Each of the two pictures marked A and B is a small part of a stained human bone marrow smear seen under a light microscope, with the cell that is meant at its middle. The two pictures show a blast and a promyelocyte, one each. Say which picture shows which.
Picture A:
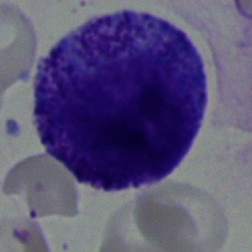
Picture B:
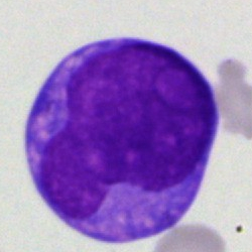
A: promyelocyte
B: blast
